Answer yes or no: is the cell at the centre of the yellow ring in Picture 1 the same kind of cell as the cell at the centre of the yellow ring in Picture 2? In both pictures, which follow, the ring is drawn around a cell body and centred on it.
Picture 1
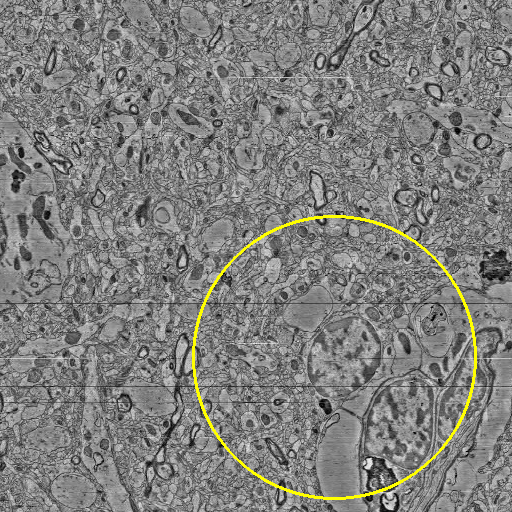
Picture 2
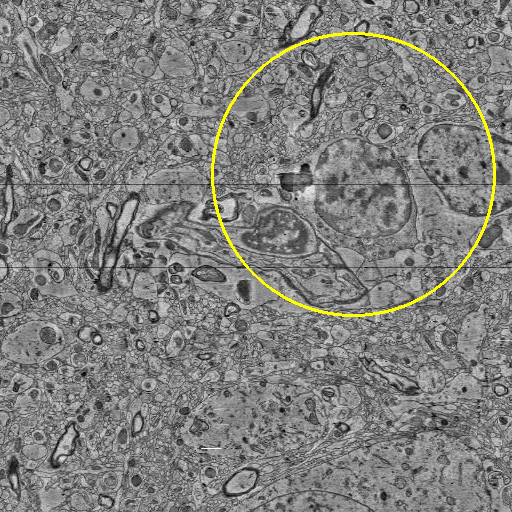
no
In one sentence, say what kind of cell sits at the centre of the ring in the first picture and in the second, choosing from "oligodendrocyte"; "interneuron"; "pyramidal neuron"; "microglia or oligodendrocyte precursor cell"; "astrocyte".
The first picture's ringed cell is a microglial cell or oligodendrocyte precursor cell, while the second picture's is an oligodendrocyte.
